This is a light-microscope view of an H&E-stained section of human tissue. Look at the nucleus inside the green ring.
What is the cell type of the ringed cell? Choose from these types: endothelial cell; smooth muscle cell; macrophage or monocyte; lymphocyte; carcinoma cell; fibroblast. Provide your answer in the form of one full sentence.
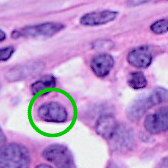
As a matter of cell type, the ringed cell is a macrophage or monocyte.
